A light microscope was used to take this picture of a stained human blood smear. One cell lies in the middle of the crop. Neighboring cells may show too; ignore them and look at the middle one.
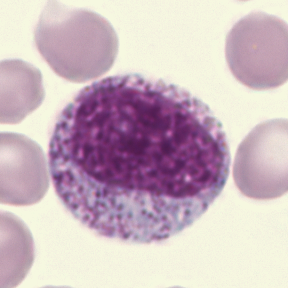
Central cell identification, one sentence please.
The cell in the middle of this crop is a myelocyte.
